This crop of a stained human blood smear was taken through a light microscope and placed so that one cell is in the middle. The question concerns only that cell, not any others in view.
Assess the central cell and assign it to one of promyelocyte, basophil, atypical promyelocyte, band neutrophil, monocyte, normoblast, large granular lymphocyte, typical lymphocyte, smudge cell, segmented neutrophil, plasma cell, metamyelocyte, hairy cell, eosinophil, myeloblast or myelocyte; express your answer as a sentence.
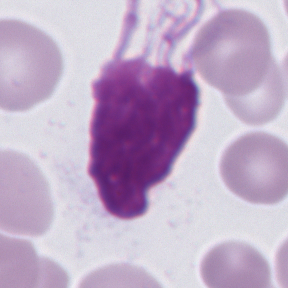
The cell under consideration, at the middle of the crop, is a smudge cell.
